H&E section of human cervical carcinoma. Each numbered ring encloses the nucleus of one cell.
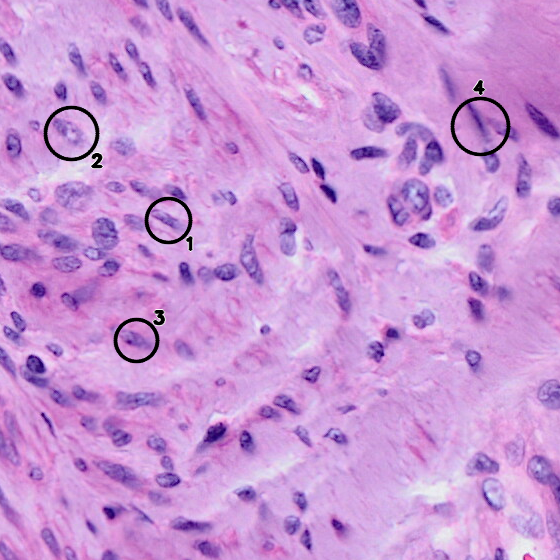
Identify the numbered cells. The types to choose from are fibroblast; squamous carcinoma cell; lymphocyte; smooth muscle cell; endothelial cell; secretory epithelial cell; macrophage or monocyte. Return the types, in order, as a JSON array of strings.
["smooth muscle cell", "smooth muscle cell", "smooth muscle cell", "fibroblast"]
